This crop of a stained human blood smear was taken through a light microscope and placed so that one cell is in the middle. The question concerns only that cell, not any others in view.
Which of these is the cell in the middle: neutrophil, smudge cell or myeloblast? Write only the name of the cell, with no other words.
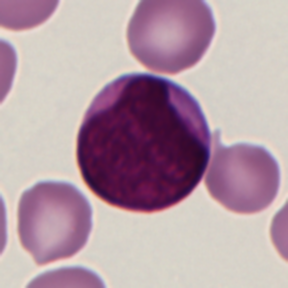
myeloblast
